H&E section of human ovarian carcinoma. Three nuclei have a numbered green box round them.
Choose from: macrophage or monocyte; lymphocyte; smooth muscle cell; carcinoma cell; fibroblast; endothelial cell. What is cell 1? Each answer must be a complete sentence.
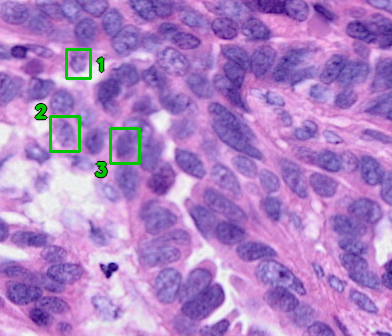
Identified as a macrophage or monocyte is the cell bearing the number 1.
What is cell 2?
Recognised here as a carcinoma cell is the cell numbered 2.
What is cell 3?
That cell with number 3 is a carcinoma cell.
